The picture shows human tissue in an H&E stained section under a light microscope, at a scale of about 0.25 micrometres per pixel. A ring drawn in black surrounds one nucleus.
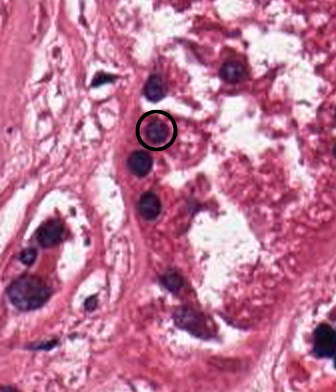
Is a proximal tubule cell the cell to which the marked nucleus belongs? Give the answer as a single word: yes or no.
yes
